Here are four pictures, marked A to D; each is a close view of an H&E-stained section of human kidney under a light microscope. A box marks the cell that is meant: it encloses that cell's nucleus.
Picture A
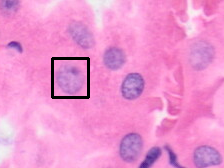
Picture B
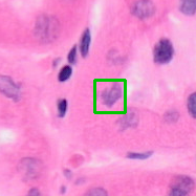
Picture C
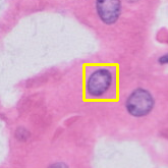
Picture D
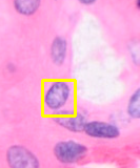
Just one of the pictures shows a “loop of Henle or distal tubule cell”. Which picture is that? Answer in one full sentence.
It is picture B that shows the “loop of Henle or distal tubule cell”.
